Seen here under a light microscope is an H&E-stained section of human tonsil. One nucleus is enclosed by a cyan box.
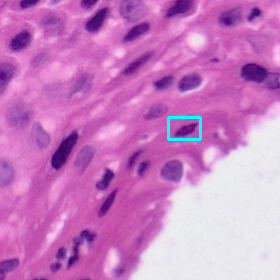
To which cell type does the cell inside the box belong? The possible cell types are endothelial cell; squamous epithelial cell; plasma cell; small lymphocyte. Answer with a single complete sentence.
It is a squamous epithelial cell that the cell inside the box represents.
